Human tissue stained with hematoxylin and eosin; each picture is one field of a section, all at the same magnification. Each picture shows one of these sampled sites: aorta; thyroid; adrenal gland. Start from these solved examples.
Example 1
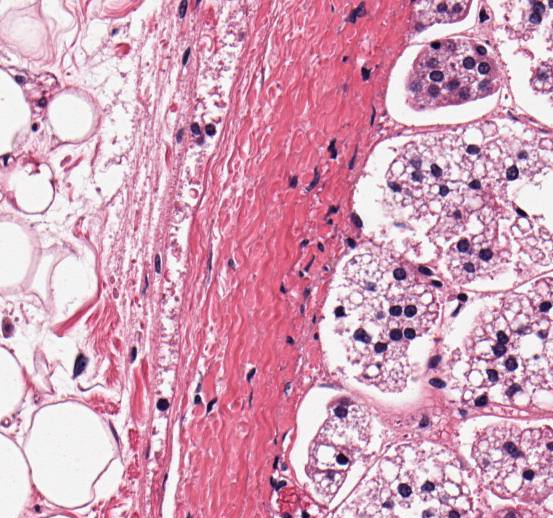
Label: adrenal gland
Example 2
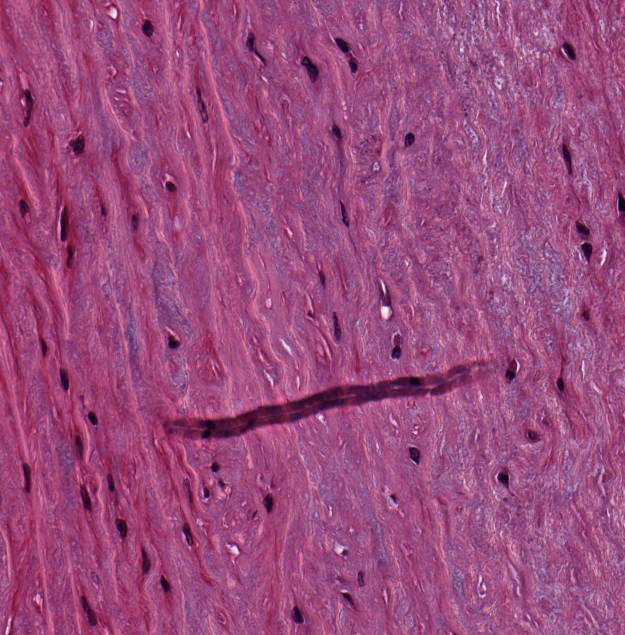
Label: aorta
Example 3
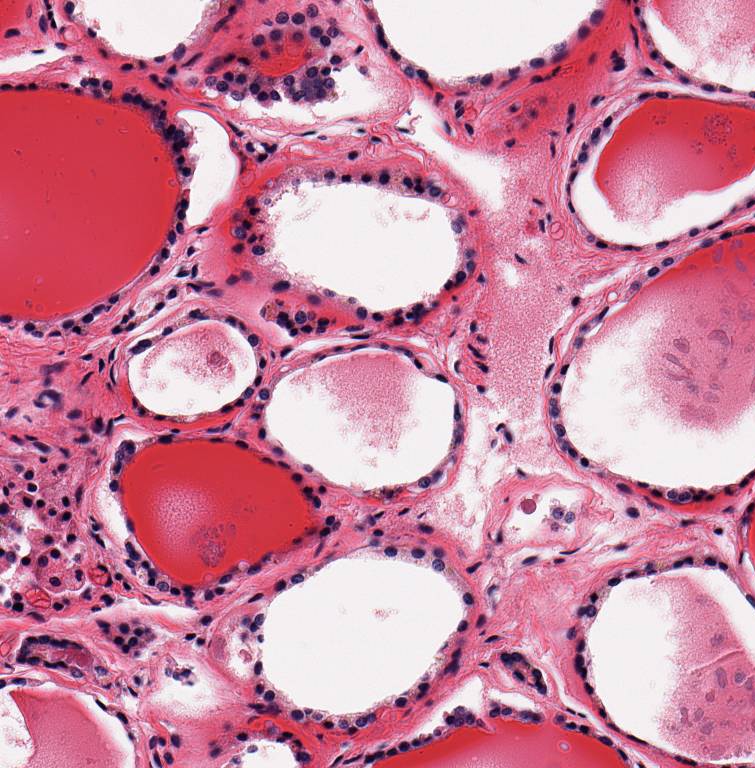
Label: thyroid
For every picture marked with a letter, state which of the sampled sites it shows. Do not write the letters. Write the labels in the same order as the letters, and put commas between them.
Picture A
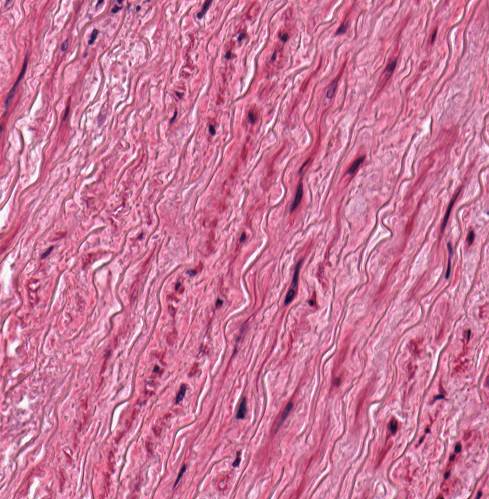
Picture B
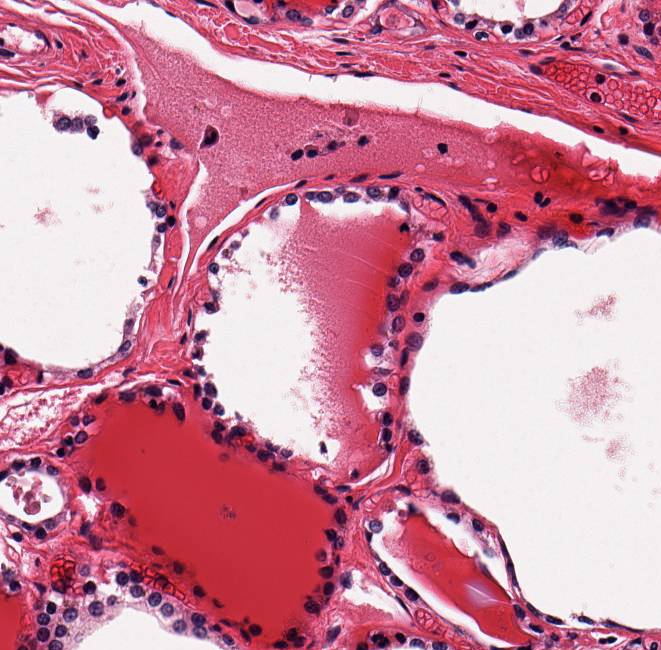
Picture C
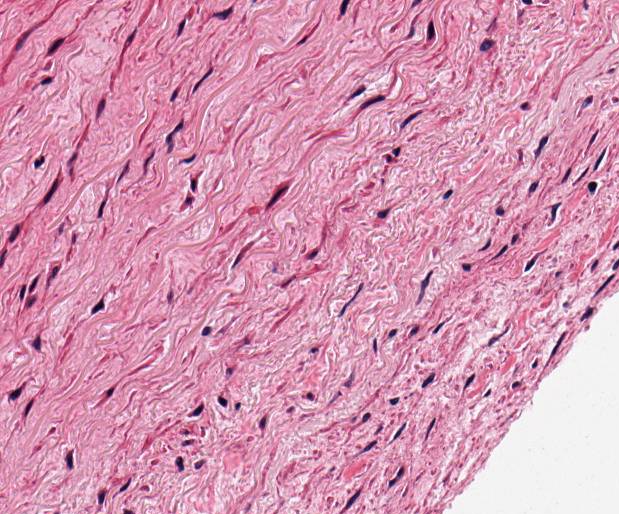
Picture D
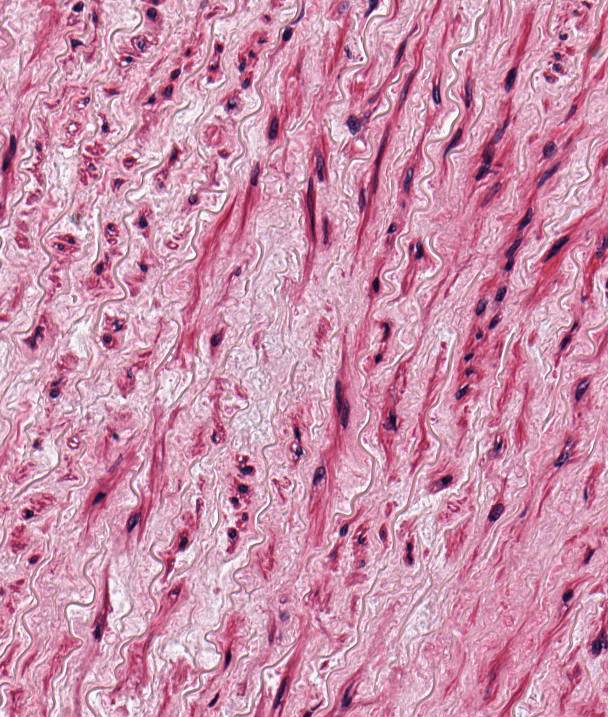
aorta, thyroid, aorta, aorta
